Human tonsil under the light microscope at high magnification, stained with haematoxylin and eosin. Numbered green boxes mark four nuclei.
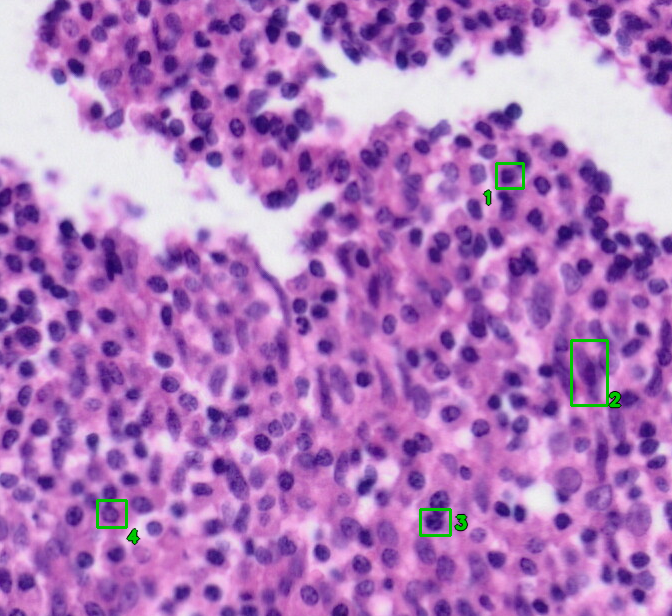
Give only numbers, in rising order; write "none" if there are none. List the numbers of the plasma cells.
1, 3, 4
